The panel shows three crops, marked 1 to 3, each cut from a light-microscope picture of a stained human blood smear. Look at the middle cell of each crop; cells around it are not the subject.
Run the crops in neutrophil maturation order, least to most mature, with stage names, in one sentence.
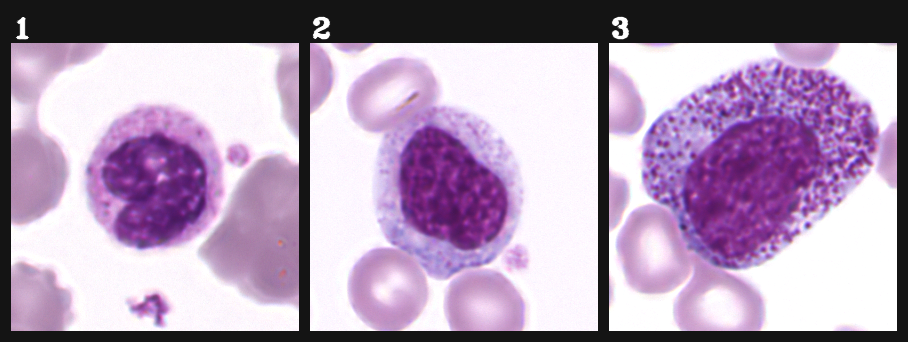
Arranged by increasing maturity, the sequence is crop 3 (a promyelocyte), crop 2 (a metamyelocyte) and crop 1 (a band neutrophil).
